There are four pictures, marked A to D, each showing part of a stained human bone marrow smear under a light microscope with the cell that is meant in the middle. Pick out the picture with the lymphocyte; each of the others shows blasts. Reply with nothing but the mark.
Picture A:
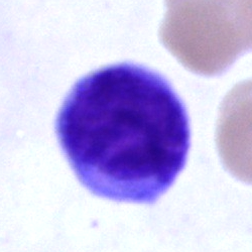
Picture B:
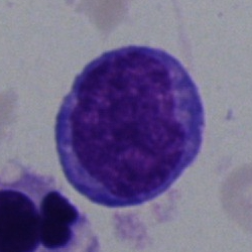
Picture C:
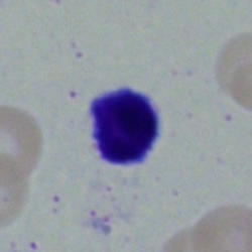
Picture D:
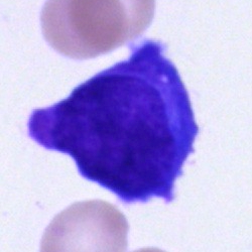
C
